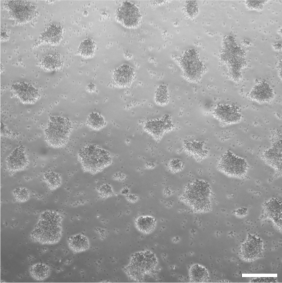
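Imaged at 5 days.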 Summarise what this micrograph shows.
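Scattered clumps of aggregated cells are seen at low magnification, each a dense grey mass. Their outlines are irregular and frayed rather than smoothly round, with loose cells at the edges.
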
